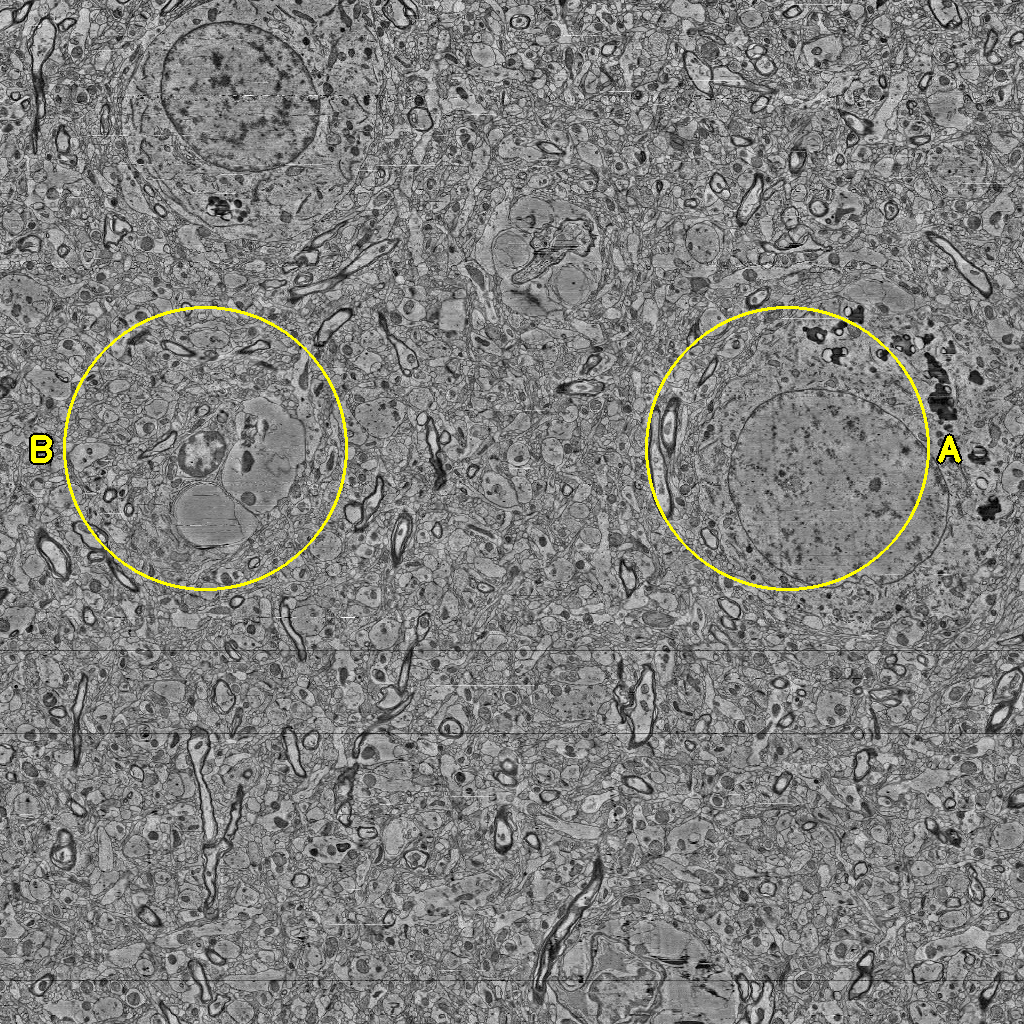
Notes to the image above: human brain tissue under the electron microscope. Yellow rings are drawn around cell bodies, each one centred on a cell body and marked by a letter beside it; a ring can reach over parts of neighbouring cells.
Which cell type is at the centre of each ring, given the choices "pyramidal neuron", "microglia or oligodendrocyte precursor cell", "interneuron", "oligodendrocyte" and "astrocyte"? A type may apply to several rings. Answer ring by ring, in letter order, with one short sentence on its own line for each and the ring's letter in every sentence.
Inside ring A, at its centre, is a pyramidal neuron.
Inside ring B, at its centre, is a microglial cell or oligodendrocyte precursor cell.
